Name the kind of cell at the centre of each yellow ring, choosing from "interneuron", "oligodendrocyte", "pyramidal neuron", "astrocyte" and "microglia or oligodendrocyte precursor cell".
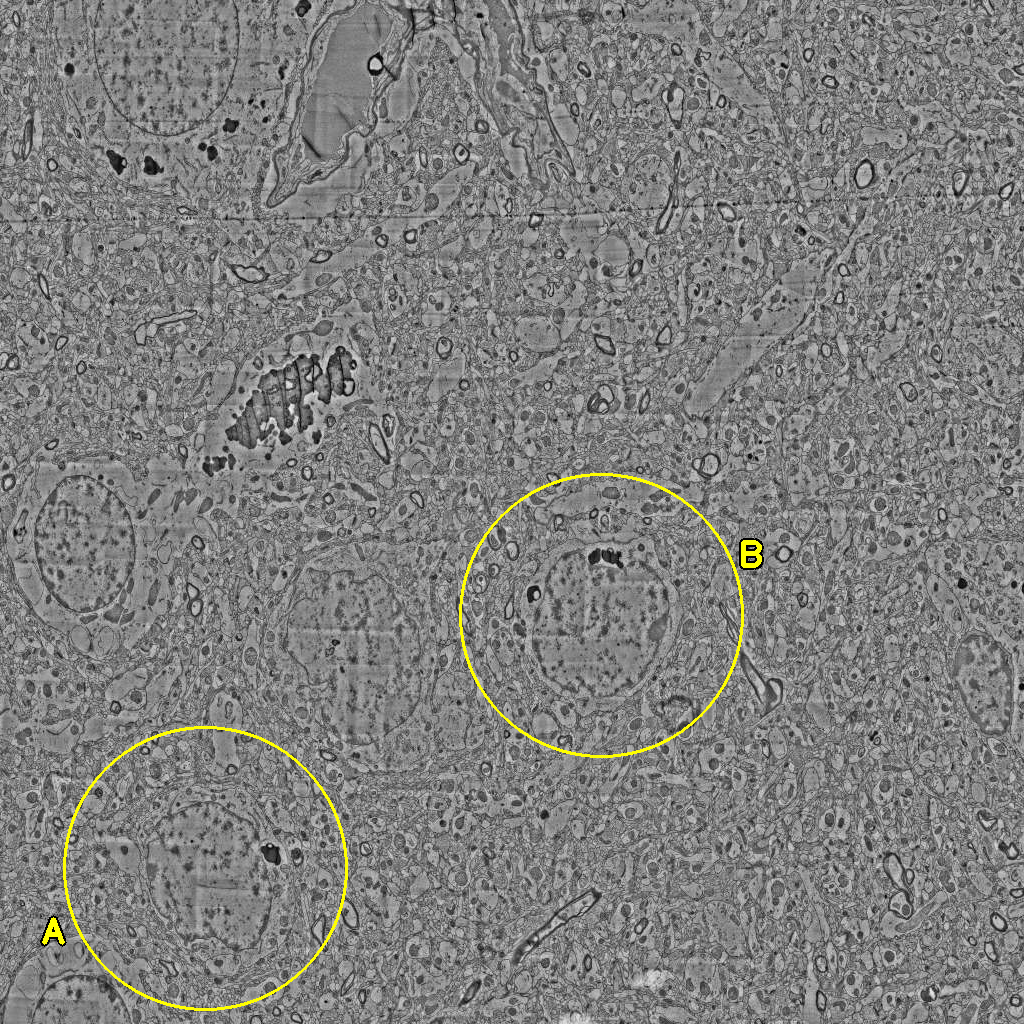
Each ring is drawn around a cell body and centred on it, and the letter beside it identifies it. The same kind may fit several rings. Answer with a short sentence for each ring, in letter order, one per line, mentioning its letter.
Ring A is drawn around an interneuron.
Ring B is drawn around an interneuron.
